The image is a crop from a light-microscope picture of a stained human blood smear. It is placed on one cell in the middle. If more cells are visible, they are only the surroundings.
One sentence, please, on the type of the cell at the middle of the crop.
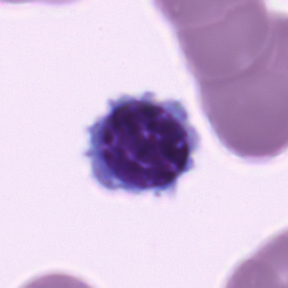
The cell in the middle of this crop is a plasma cell.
